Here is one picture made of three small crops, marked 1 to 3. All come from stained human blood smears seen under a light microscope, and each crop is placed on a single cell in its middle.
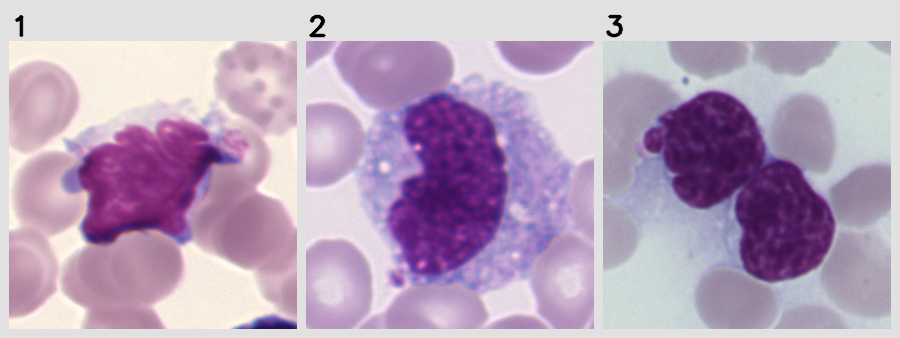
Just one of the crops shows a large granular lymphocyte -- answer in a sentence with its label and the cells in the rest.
Crop 1 is a large granular lymphocyte and, for the others, crop 2 is a monocyte and crop 3 is a myeloblast.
